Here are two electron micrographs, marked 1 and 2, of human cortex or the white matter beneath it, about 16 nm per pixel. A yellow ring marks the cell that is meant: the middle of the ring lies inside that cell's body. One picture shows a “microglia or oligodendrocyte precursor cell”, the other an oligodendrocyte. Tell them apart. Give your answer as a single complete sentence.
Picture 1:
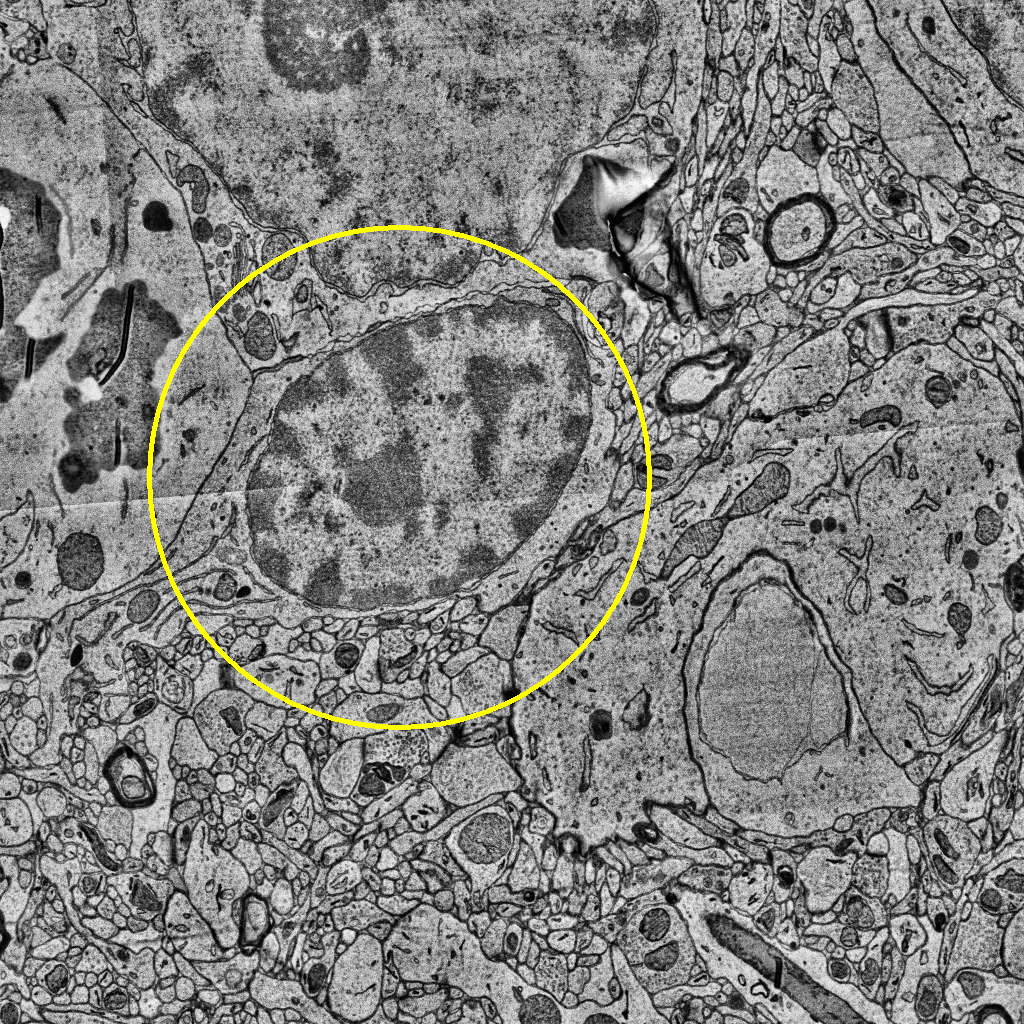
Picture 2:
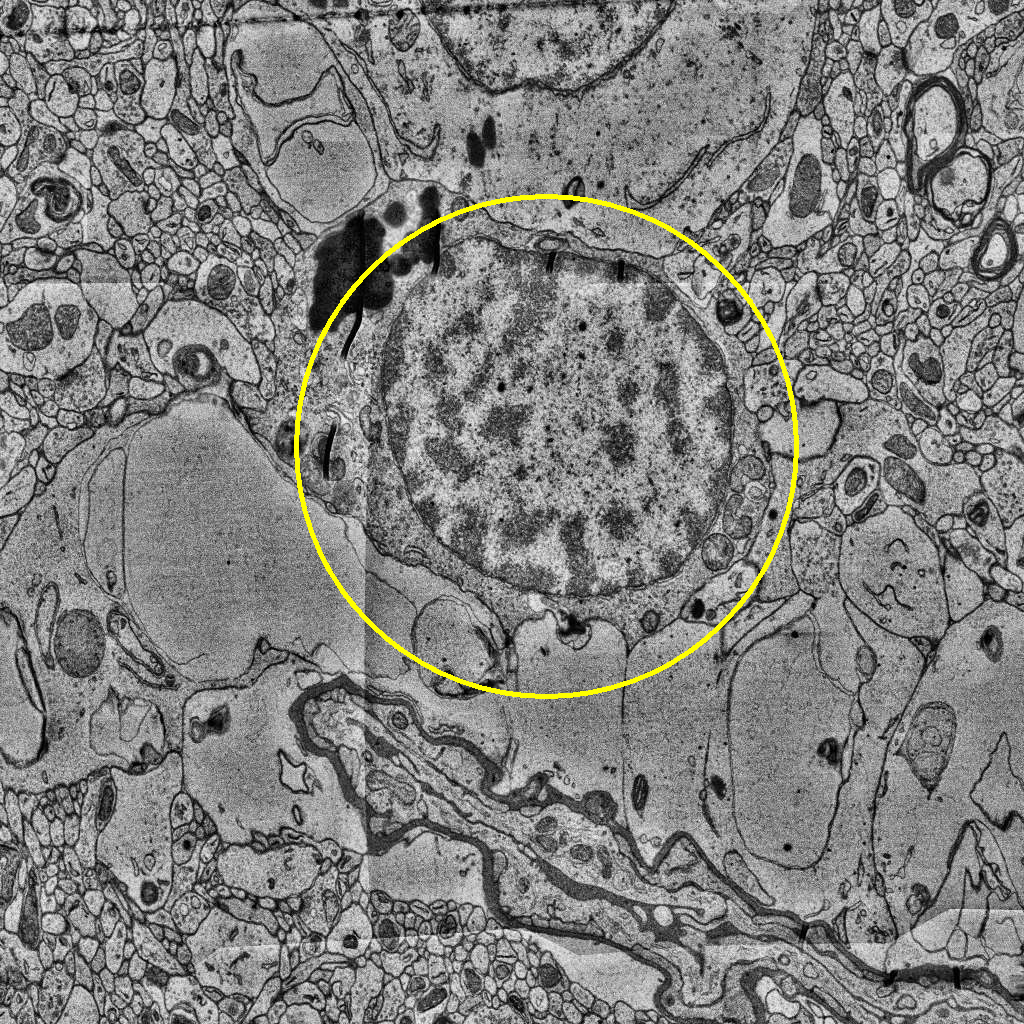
It is picture 1 that shows a “microglia or oligodendrocyte precursor cell”, and picture 2 that shows an oligodendrocyte.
